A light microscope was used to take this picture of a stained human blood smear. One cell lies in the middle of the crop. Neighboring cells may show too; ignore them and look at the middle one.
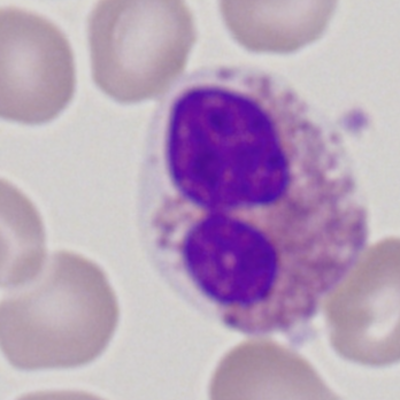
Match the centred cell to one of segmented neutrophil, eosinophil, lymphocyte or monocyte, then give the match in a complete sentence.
Centred in the crop is an eosinophil.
